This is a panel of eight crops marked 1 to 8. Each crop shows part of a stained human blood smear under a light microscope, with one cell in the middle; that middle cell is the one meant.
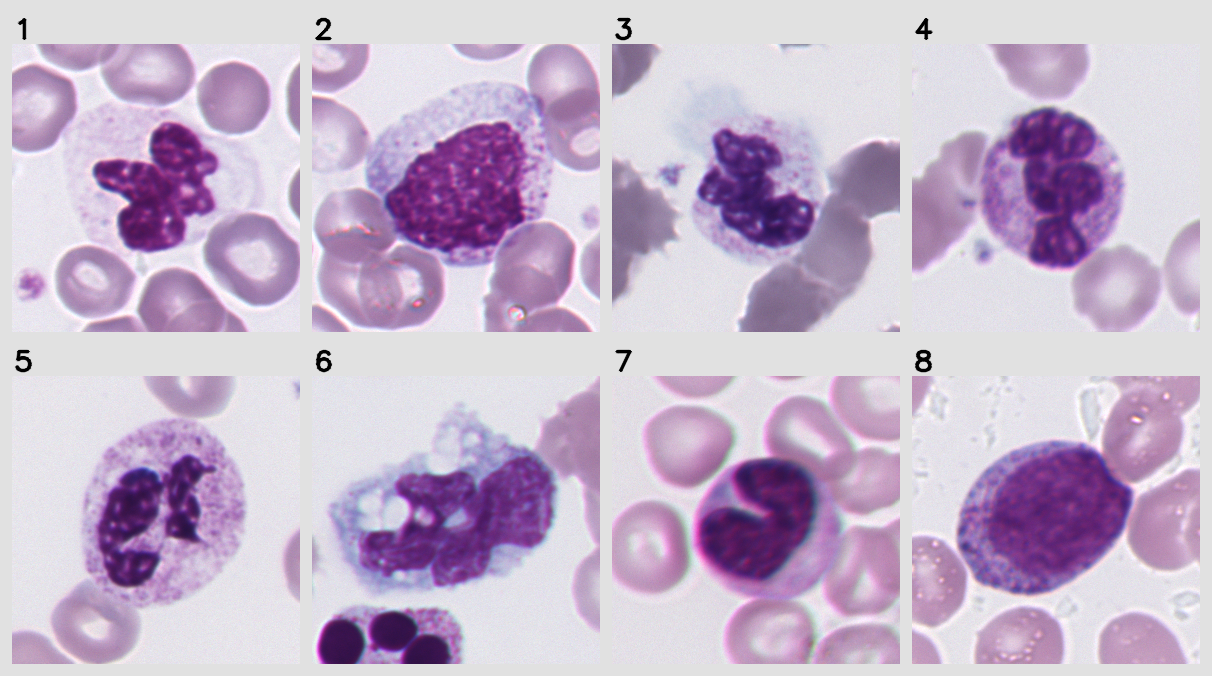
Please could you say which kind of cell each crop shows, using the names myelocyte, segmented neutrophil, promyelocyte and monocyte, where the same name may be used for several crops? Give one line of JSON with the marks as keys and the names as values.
{"1": "segmented neutrophil", "2": "myelocyte", "3": "segmented neutrophil", "4": "segmented neutrophil", "5": "segmented neutrophil", "6": "monocyte", "7": "segmented neutrophil", "8": "myelocyte"}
